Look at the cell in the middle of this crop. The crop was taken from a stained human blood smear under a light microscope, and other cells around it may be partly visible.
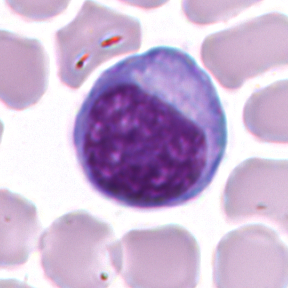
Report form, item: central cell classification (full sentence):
In the middle of this smear crop is a plasma cell.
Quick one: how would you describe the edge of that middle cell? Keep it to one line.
Its periphery is smooth, and no projections arise from it.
